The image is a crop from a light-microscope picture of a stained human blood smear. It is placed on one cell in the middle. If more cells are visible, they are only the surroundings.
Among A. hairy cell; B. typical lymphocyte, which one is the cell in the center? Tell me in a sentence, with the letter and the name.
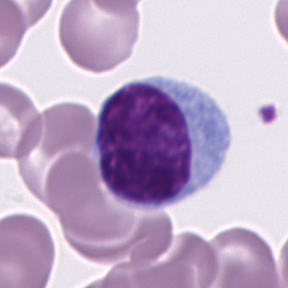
The cell placed in the middle is a typical lymphocyte; option B is correct.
